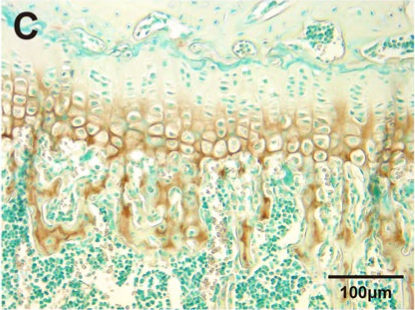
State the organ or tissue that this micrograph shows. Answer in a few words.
Growth plate.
